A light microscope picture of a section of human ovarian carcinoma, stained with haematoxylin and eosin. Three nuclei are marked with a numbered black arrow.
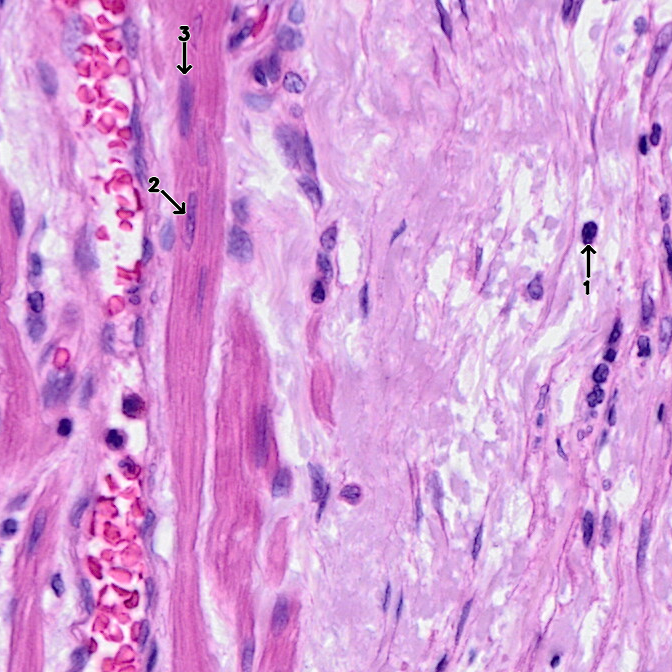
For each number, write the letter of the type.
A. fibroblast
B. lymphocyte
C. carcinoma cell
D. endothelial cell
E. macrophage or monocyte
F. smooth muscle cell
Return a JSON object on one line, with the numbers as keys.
{"1": "B", "2": "F", "3": "F"}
